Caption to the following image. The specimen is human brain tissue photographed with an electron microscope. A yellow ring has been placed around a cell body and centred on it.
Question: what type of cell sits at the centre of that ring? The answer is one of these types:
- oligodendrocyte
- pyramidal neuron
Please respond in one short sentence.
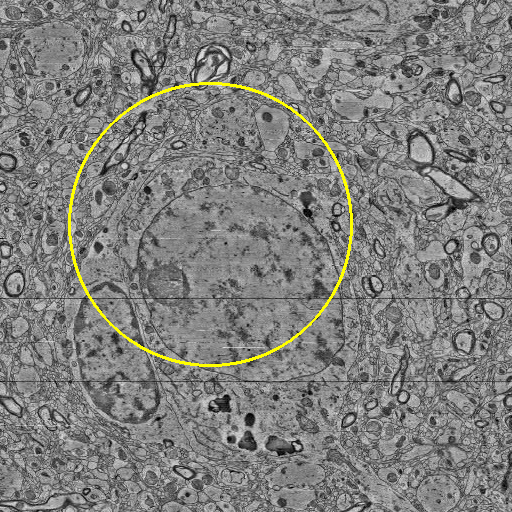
The ring surrounds the cell body of a pyramidal neuron.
